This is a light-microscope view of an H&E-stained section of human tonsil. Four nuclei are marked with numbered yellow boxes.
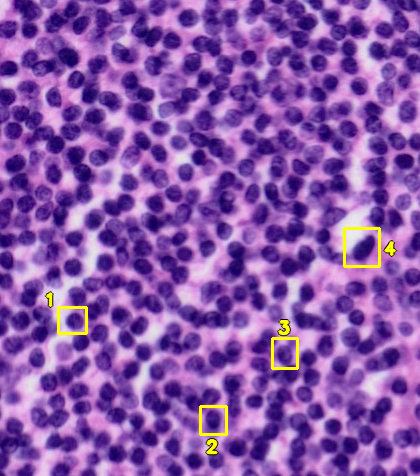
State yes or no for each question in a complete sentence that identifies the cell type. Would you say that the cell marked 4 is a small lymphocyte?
No, number 4 is assigned to a proliferating B cell, not to a small lymphocyte.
